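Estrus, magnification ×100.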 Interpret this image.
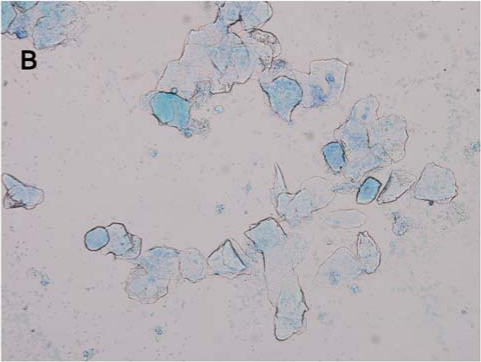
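This vaginal smear is filled with keratinocytes: large, flat, pale blue cells with angular, irregular outlines and sharp dark edges, many with folded or creased margins. They lie singly and in loose sheets and chains that wind across the field, often overlapping at their edges. Most show no distinct dark nucleus, their cytoplasm appearing evenly pale with faint granularity. The background is clear, with very few small round cells and only sparse fine debris, so the broad flat cells dominate the picture.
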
